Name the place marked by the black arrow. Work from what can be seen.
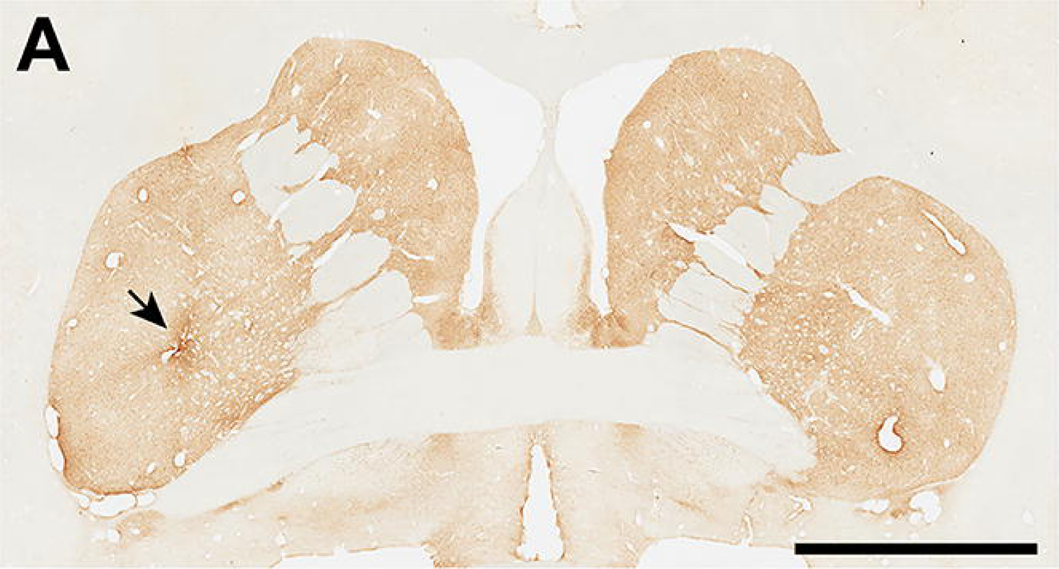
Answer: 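A small focal spot of darker staining with radiating streaks sits in the left striatum where the arrow points. On this evidence: injection site.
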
